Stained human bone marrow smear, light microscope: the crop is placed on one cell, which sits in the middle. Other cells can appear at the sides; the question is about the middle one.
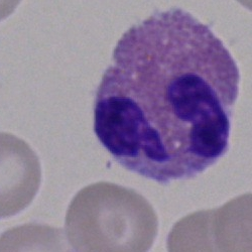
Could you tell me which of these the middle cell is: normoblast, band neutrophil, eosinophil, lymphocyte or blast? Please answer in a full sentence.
The cell at the centre of the field is an eosinophil.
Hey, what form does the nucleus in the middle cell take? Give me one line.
Counting the nuclear lobes gives a total of at least two.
